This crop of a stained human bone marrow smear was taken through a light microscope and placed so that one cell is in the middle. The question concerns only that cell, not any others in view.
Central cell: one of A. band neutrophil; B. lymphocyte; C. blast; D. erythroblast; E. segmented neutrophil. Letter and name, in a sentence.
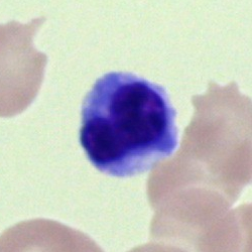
The central cell in this crop is an erythroblast, so the correct choice is option D.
